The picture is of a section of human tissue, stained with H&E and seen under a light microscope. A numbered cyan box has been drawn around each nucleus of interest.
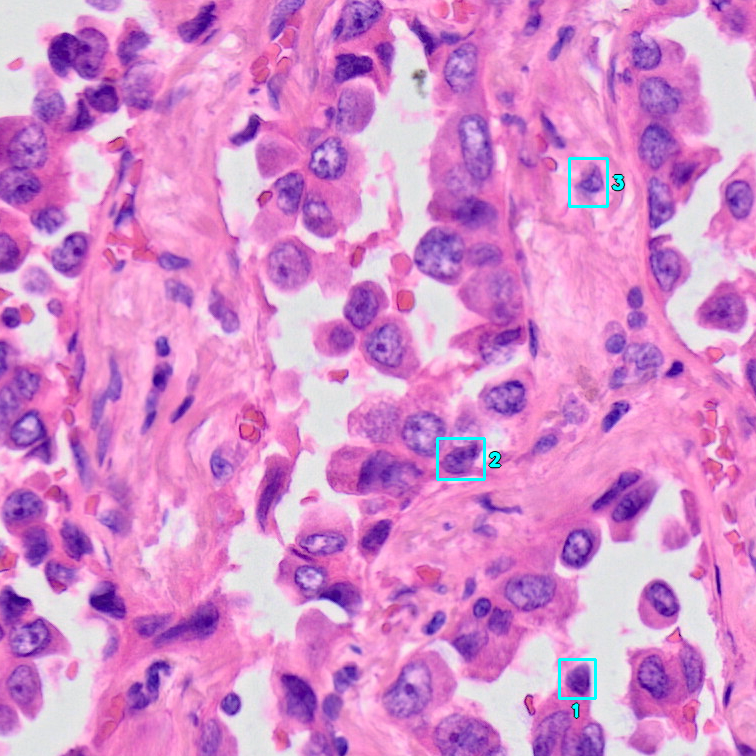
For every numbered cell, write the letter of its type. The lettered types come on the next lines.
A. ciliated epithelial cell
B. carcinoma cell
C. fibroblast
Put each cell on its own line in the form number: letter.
1: B
2: B
3: C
